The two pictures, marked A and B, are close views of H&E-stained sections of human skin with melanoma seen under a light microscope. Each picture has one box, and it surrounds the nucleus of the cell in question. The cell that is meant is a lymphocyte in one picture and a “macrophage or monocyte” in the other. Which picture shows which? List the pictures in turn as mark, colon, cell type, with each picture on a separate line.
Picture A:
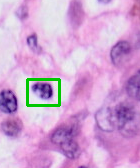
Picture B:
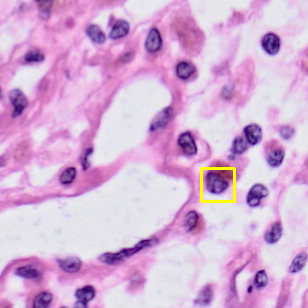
A: lymphocyte
B: macrophage or monocyte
